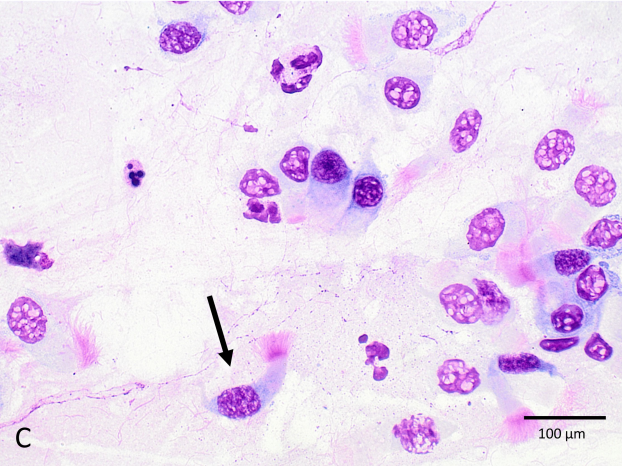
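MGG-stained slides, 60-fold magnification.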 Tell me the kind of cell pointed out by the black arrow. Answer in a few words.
Ciliated cell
